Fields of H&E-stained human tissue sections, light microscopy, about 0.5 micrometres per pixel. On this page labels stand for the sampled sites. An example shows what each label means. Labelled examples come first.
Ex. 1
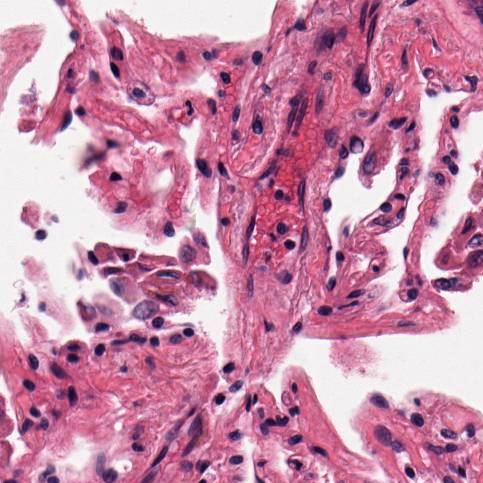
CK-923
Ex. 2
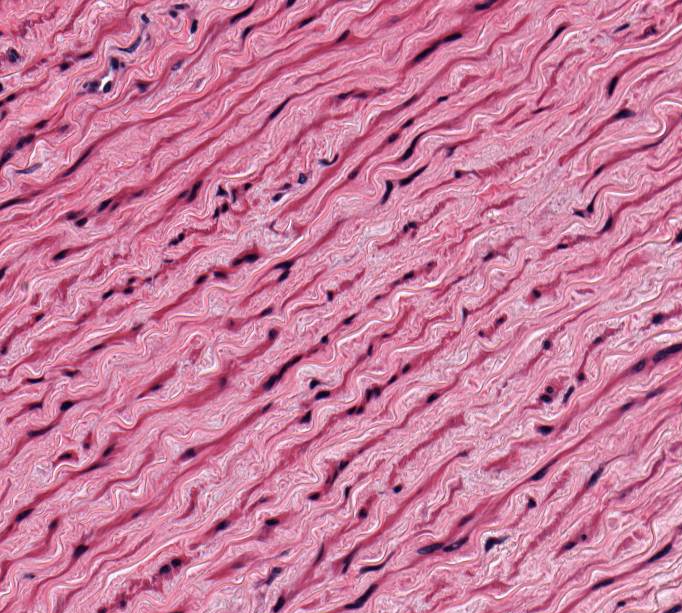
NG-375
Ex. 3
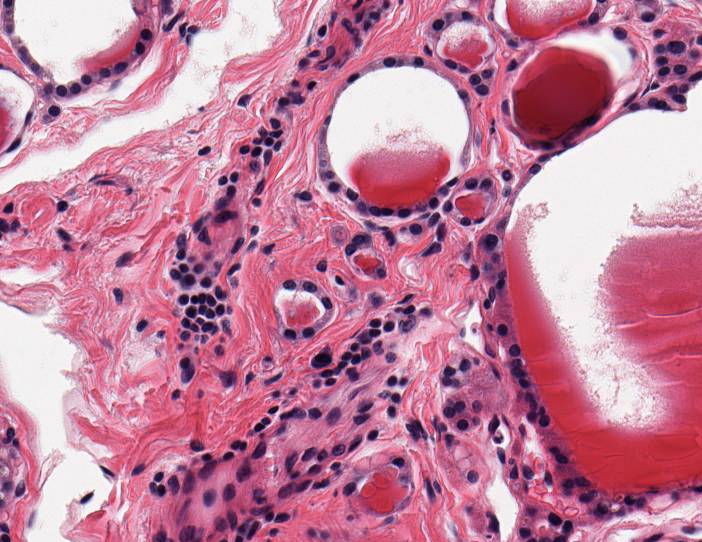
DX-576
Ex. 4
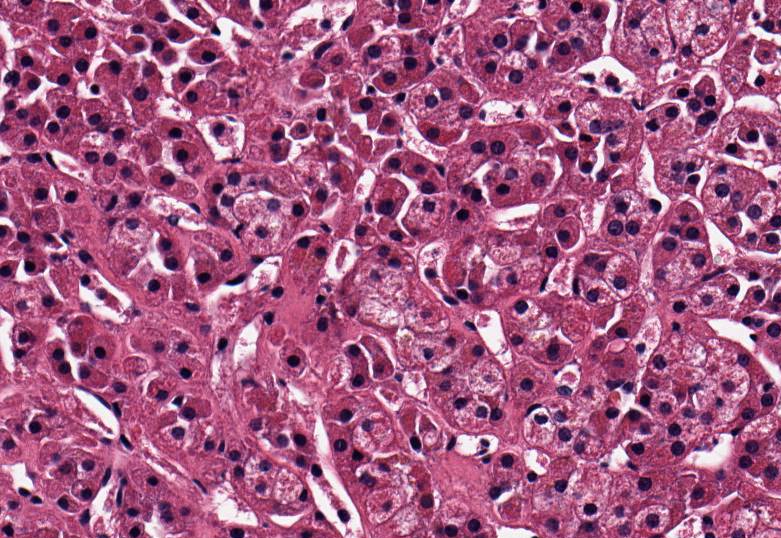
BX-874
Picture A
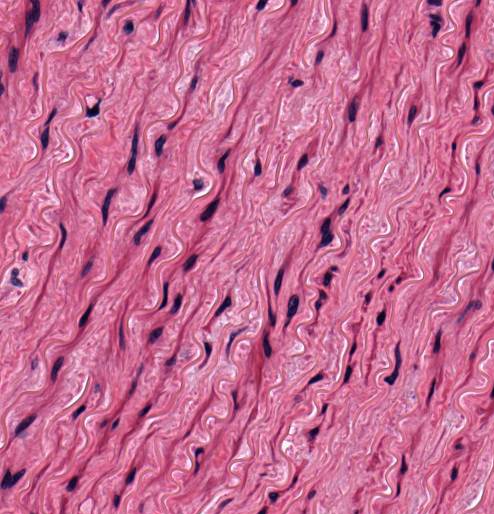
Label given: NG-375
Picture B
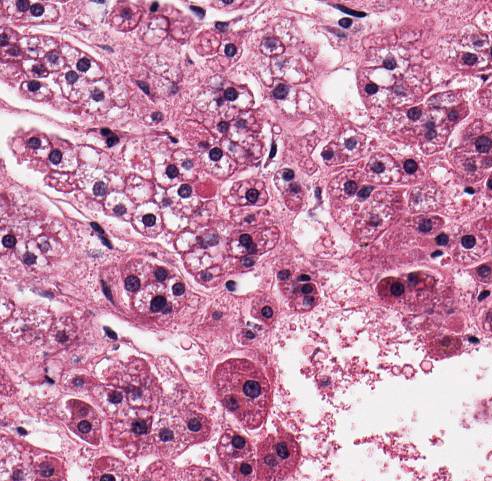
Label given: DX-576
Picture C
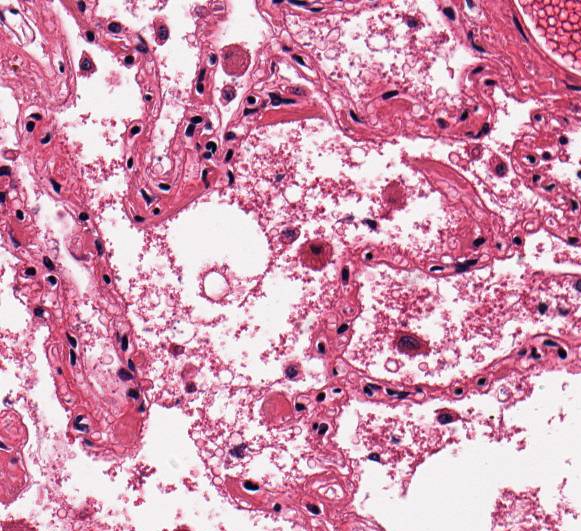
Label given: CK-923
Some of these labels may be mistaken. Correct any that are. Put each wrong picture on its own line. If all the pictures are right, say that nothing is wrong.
B: BX-874, not DX-576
